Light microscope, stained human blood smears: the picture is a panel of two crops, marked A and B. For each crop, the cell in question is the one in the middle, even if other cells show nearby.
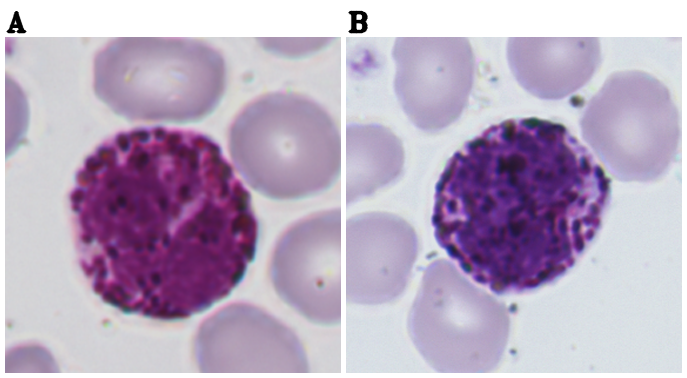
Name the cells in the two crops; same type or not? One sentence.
Yes, as shown in both crops, the central cells are basophils.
